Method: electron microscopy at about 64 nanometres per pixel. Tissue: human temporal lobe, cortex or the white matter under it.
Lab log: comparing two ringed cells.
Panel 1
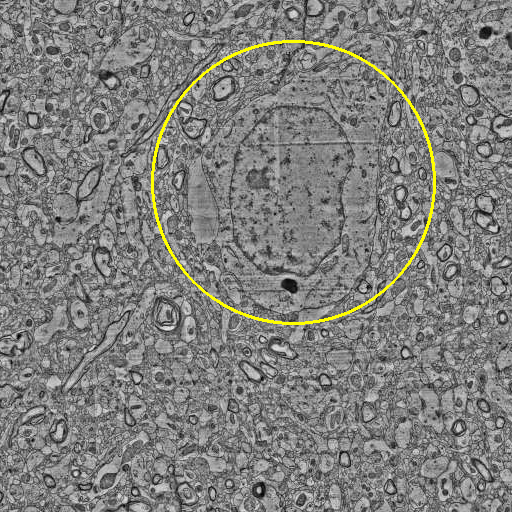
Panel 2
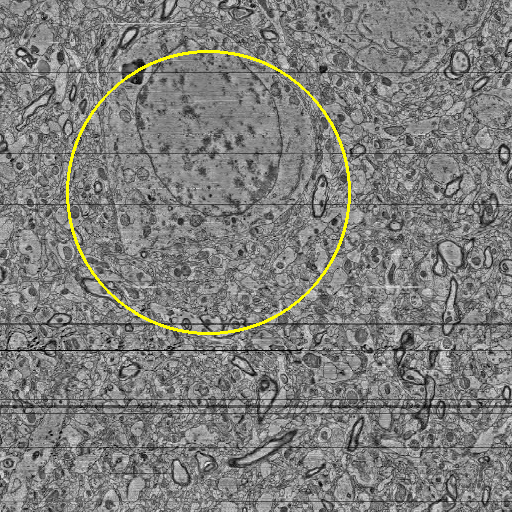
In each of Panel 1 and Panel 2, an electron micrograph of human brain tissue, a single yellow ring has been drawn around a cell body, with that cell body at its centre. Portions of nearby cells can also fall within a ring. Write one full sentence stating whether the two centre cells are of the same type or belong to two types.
The cells at the ring centres in Panel 1 and Panel 2 are of the same type.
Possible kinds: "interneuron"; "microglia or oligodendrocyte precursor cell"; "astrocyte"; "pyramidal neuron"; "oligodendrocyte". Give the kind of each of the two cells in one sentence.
Both rings mark a pyramidal neuron, one in each picture.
